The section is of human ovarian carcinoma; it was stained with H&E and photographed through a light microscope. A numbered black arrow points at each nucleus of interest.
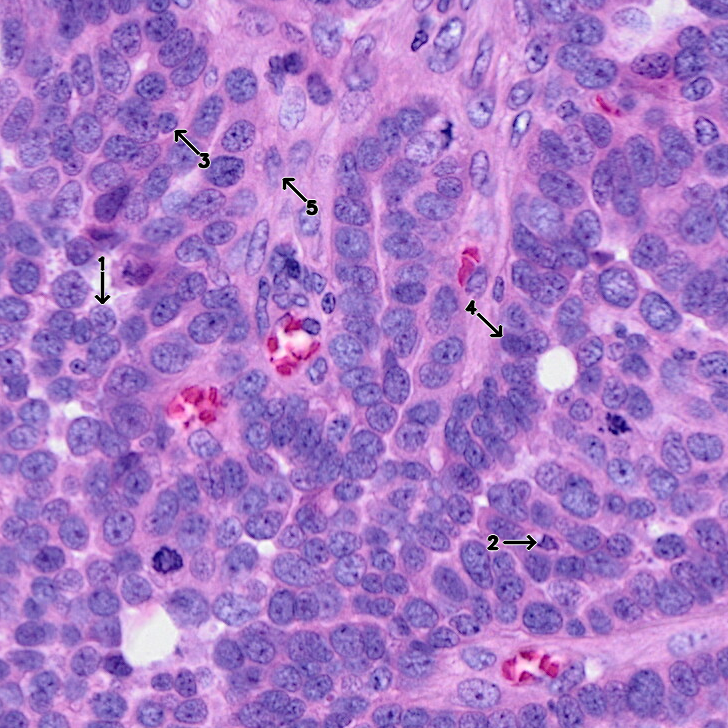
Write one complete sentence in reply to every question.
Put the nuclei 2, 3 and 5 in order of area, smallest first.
By area, going up from the smallest, they rank 2, 3, 5.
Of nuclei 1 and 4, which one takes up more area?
Of the two, number 1 is bigger and takes up about 2 times the area of number 4.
